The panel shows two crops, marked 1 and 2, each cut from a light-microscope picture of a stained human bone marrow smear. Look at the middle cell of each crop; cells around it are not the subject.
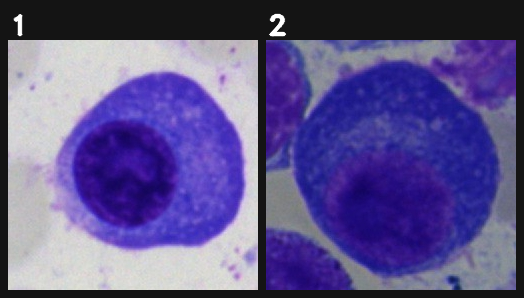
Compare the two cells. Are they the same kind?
yes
